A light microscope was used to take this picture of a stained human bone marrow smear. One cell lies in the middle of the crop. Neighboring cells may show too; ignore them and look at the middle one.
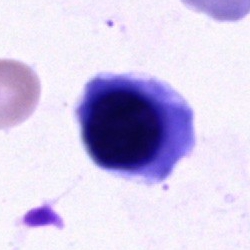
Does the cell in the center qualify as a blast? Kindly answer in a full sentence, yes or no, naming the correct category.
No, the cell occupying the centre is an erythroblast, not a blast.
